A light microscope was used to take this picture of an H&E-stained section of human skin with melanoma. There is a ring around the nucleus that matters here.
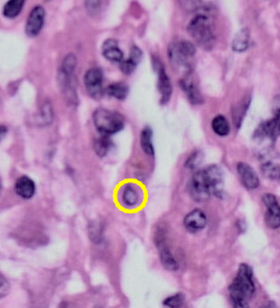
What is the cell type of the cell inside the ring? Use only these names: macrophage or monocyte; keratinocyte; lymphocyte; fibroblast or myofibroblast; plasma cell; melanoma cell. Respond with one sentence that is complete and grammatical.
Typologically, the cell inside the ring is a macrophage or monocyte in this section.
